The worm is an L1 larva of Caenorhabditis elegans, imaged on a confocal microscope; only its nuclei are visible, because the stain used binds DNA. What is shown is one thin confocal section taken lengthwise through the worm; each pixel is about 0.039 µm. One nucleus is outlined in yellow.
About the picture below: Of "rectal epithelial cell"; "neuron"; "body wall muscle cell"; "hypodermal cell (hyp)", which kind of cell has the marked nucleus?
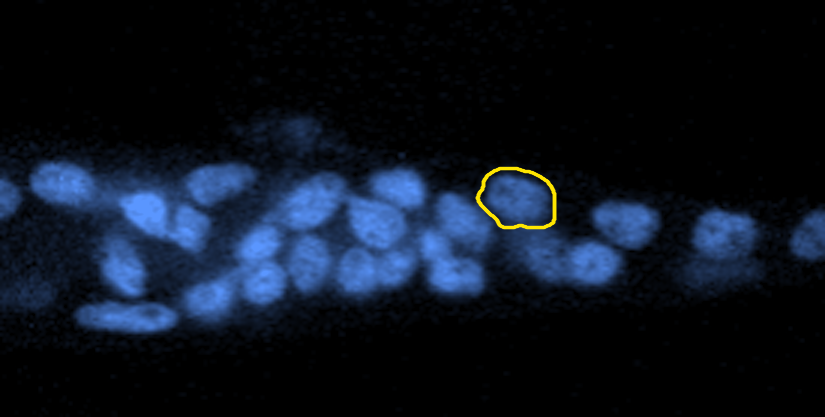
hypodermal cell (hyp)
